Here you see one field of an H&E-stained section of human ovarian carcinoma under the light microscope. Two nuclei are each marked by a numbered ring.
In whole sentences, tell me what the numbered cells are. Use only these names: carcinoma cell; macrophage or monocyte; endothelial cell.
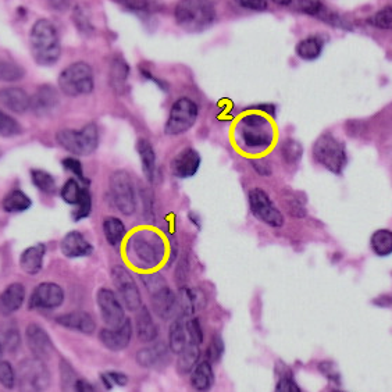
Cell 1 is a carcinoma cell. Cell 2 is a macrophage or monocyte.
